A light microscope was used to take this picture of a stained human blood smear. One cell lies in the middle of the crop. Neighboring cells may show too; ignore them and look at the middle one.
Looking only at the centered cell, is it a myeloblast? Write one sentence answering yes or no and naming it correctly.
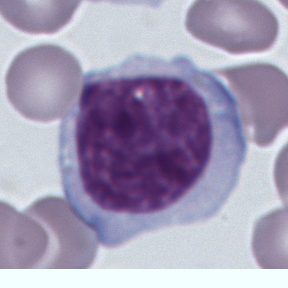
Yes, the cell at the middle is a myeloblast.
